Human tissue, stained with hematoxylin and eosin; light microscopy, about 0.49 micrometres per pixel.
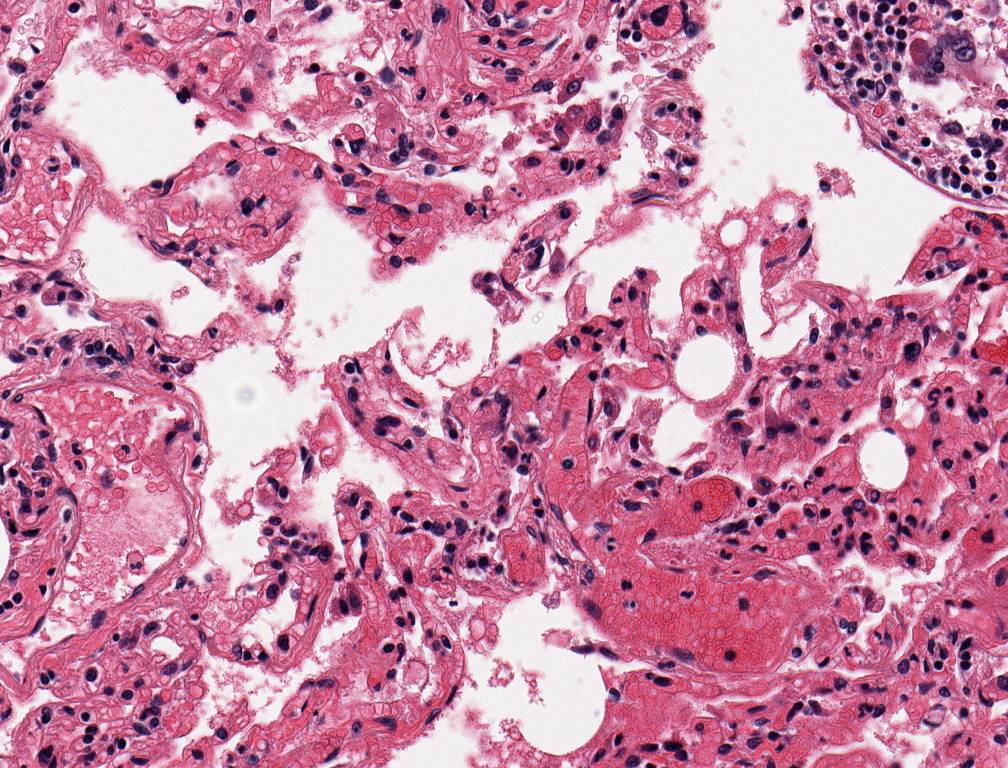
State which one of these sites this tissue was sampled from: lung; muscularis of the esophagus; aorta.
lung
